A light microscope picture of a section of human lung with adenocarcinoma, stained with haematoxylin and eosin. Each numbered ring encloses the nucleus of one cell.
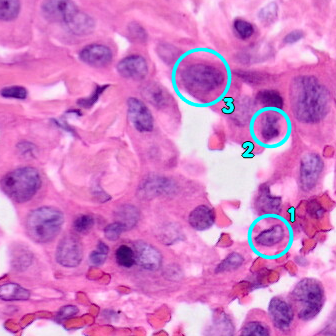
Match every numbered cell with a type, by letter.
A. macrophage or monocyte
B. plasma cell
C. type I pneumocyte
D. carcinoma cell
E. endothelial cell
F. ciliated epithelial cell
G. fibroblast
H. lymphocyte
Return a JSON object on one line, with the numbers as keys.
{"1": "A", "2": "D", "3": "D"}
